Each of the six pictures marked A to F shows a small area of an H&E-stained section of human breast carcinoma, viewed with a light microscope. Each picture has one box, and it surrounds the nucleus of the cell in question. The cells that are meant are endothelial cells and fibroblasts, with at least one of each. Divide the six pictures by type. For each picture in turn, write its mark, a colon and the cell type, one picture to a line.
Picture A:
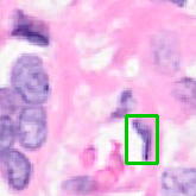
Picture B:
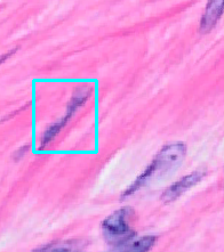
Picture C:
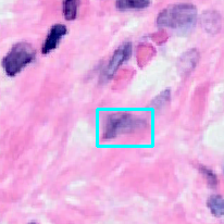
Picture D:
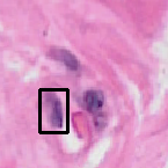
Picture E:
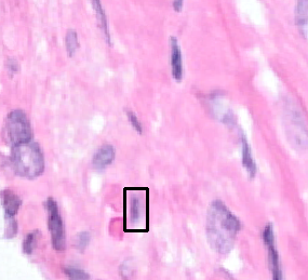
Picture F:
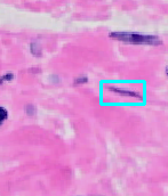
A: endothelial cell
B: fibroblast
C: endothelial cell
D: endothelial cell
E: endothelial cell
F: fibroblast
